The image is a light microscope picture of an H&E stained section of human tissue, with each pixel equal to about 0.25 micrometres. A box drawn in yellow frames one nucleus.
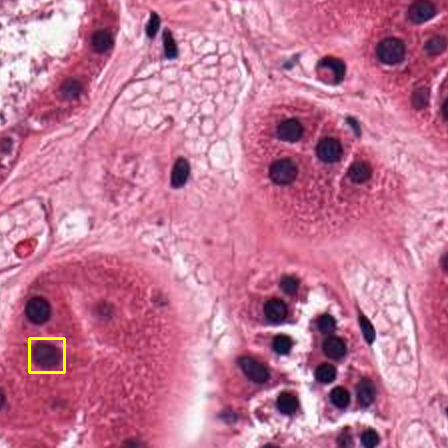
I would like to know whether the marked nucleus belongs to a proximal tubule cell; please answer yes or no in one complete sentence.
Yes, a proximal tubule cell holds the marked nucleus.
